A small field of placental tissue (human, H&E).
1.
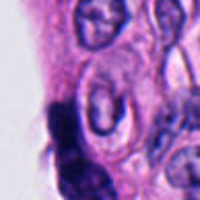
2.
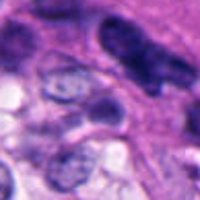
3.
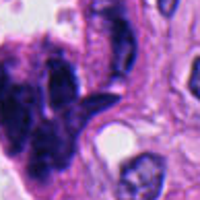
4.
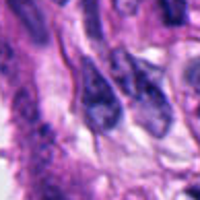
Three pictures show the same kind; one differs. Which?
Picture 3: a syncytial knot, while the others are cytotrophoblasts.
